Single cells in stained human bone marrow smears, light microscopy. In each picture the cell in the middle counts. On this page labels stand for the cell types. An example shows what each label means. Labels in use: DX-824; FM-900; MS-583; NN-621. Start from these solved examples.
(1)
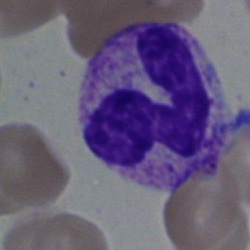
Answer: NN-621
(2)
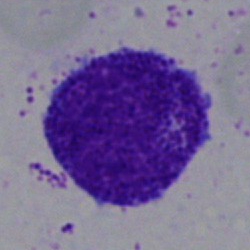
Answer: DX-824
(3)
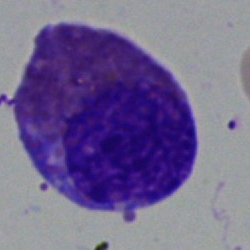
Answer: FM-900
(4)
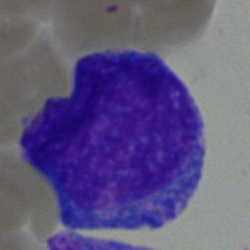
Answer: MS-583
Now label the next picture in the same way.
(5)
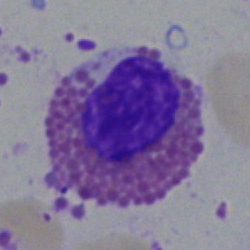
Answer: FM-900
